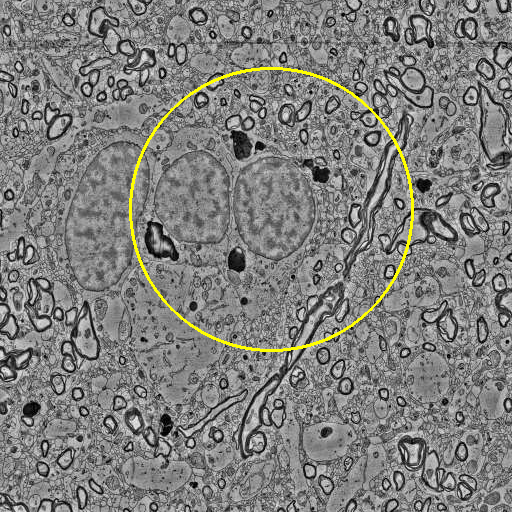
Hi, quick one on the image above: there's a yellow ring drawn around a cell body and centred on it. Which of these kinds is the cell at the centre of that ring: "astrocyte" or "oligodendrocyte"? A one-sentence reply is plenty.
The cell at the centre of the ring is an oligodendrocyte.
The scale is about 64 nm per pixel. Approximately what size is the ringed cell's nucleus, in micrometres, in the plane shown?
The nucleus comes to roughly 7 by 6 micrometres in this plane.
